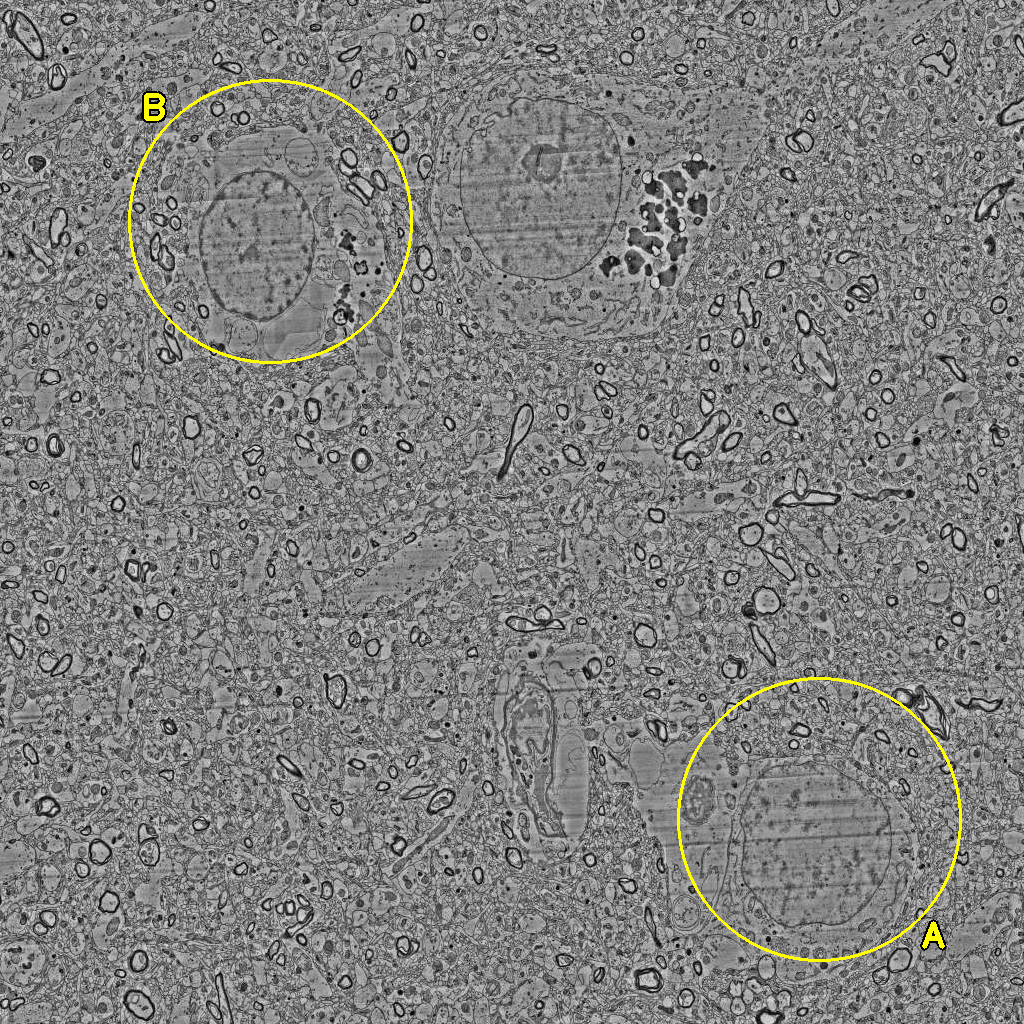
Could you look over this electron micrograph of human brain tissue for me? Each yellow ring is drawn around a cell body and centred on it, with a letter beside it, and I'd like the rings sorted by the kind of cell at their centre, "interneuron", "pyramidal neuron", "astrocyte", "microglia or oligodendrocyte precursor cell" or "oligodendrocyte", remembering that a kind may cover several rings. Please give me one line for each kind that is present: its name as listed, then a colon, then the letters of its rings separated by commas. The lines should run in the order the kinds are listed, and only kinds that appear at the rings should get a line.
pyramidal neuron: A
astrocyte: B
